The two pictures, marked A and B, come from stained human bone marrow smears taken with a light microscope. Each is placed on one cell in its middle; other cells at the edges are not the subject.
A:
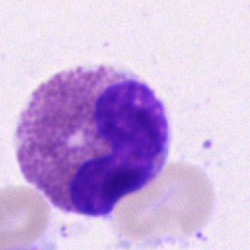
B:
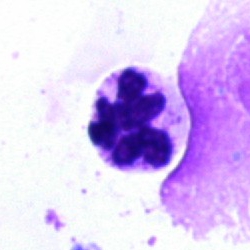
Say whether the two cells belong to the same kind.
no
